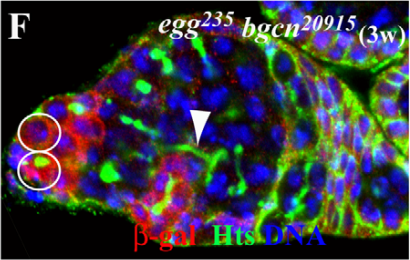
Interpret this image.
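Germarium with germline stem cells at the anterior tip and their progeny further back. Behind them lie germ cells without red, whose green material forms strands that branch and run between neighbouring cells. Small blue nuclei of somatic cells line the edges, and green outlines of somatic cells stand out toward the posterior.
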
